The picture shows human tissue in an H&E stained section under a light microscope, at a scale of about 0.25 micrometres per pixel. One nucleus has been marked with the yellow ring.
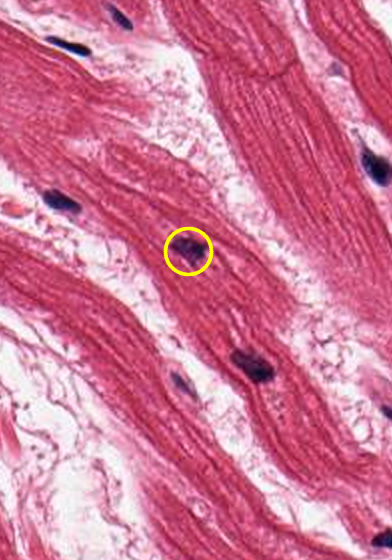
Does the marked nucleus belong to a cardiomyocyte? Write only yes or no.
yes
